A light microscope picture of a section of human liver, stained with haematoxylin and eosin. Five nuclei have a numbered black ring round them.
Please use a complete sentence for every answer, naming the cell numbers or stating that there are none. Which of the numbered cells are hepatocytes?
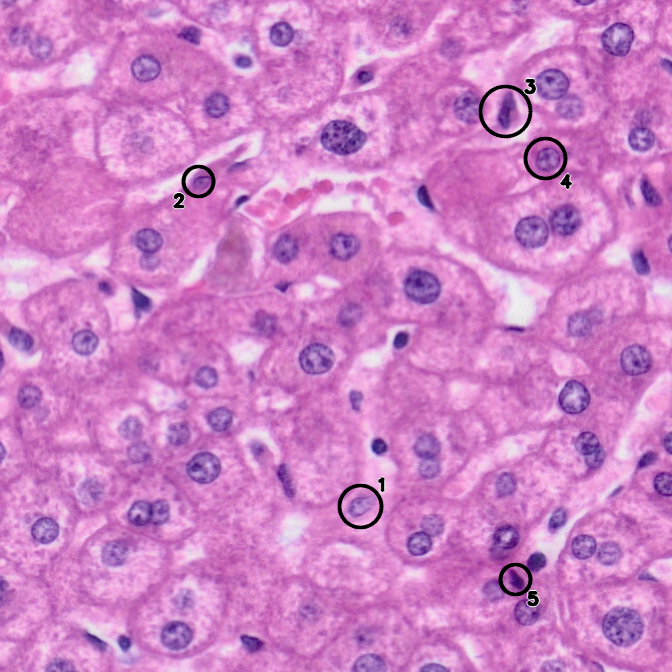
Only one marked cell, number 4, is a hepatocyte.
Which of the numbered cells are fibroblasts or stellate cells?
The cell marked by number 5 is a fibroblast or stellate cell; the other marked cells are not.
